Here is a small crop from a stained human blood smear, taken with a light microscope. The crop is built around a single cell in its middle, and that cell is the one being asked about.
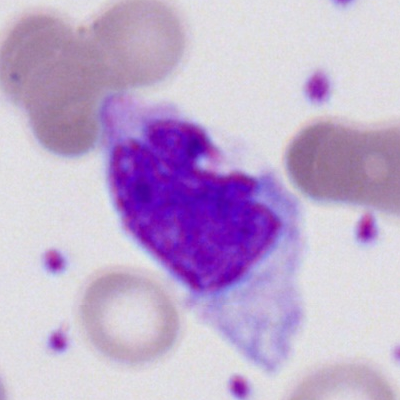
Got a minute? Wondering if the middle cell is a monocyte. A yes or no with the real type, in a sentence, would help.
Yes, this central cell is a monocyte.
